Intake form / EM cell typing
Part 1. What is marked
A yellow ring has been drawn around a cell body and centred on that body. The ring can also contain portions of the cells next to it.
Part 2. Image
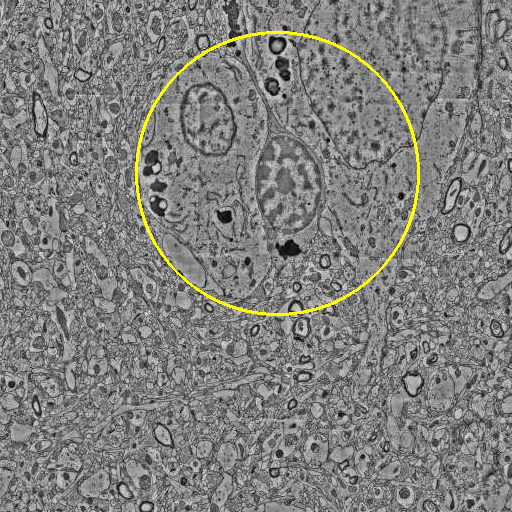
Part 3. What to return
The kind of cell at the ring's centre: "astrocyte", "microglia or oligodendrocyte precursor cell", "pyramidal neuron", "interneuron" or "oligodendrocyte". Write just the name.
oligodendrocyte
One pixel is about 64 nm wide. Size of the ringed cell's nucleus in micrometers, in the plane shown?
Roughly 6 micrometres by 4 micrometres, in this plane.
